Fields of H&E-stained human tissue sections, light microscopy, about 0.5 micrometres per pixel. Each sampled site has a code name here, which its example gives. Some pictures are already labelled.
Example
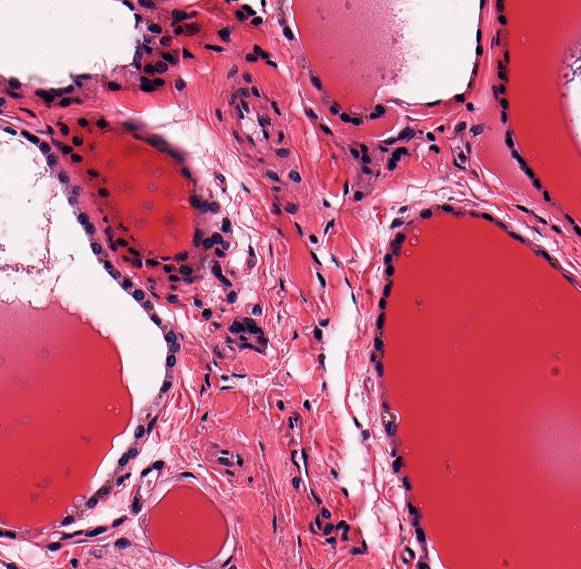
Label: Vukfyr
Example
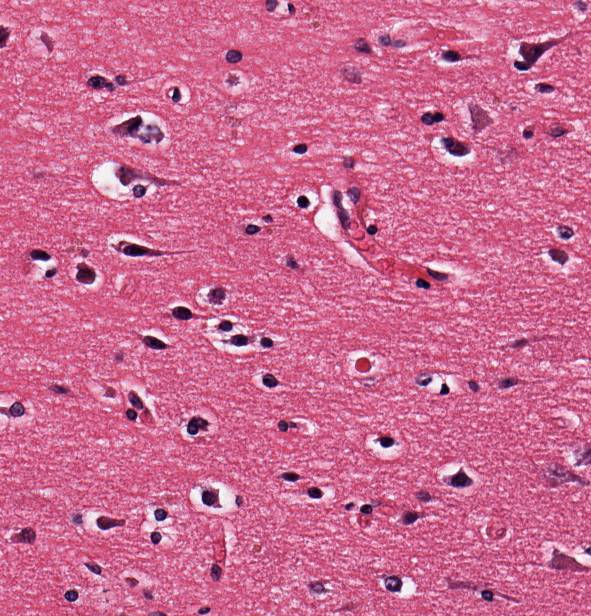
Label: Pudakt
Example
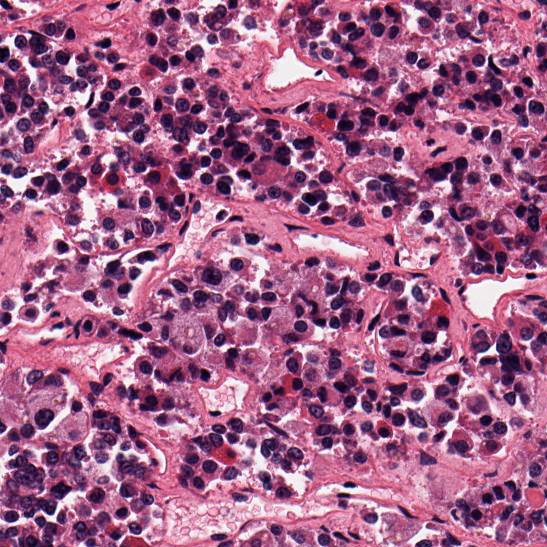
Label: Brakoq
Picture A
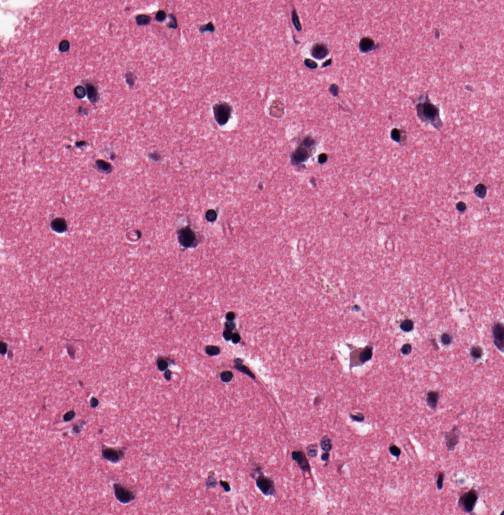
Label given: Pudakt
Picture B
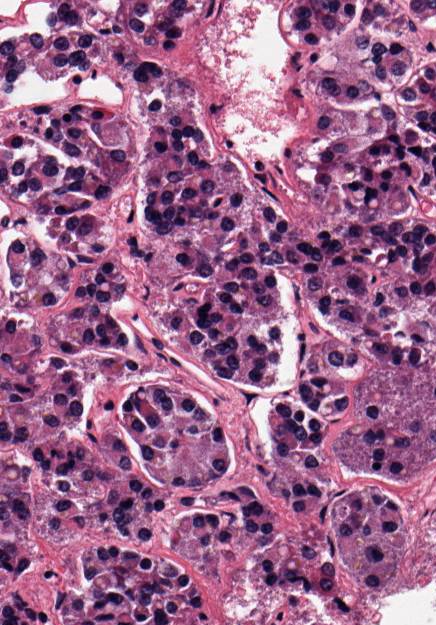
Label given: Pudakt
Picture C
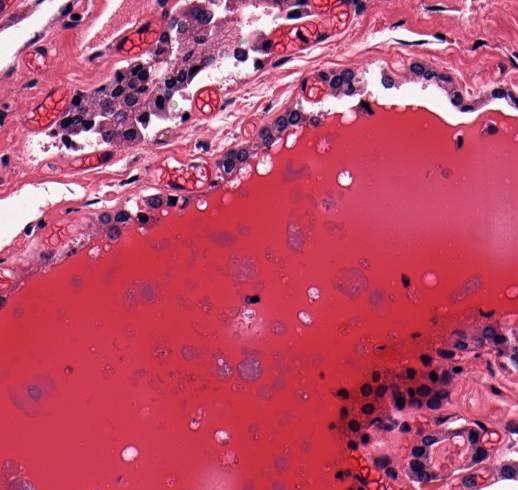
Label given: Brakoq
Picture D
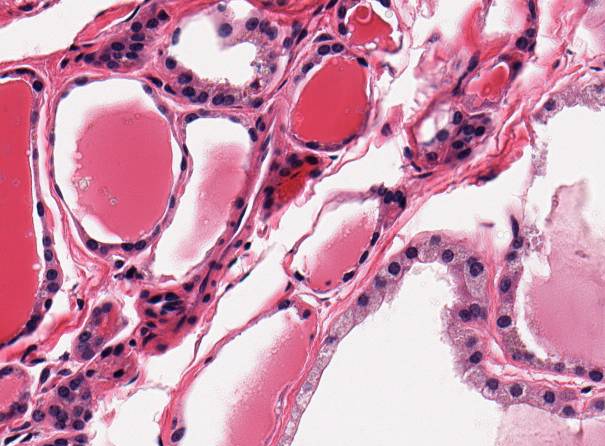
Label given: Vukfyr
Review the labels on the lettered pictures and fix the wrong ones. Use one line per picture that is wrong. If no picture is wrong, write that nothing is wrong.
B: not Pudakt but Brakoq
C: not Brakoq but Vukfyr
